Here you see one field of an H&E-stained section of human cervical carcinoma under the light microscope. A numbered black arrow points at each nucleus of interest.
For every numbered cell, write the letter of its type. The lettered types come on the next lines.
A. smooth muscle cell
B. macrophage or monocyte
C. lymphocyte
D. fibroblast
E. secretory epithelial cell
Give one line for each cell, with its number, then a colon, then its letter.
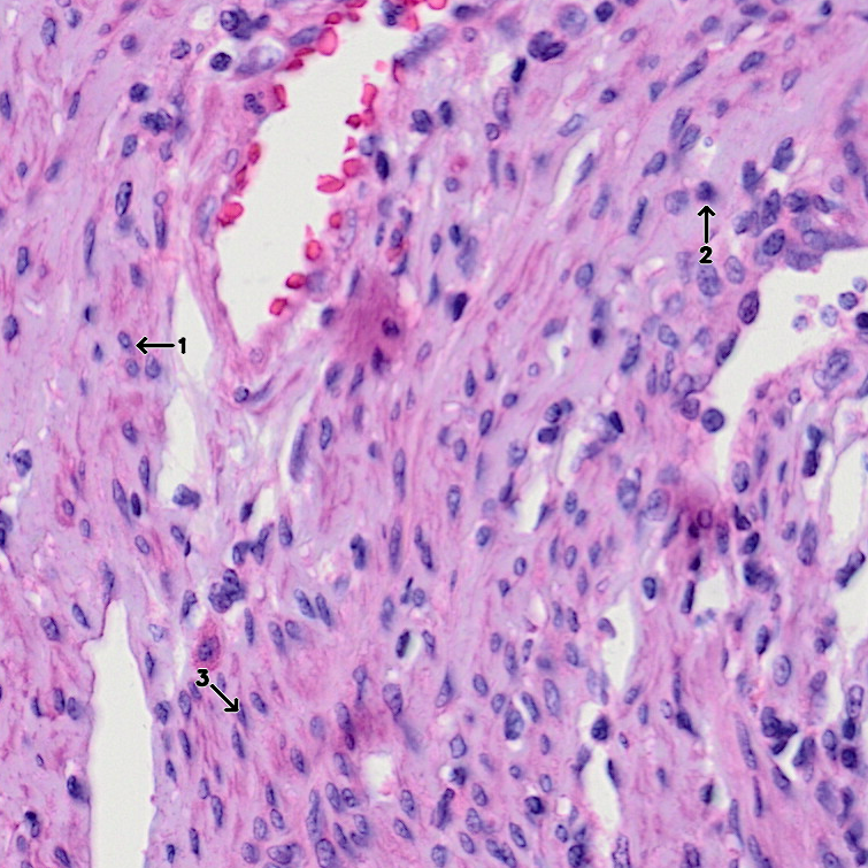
1: A
2: C
3: A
